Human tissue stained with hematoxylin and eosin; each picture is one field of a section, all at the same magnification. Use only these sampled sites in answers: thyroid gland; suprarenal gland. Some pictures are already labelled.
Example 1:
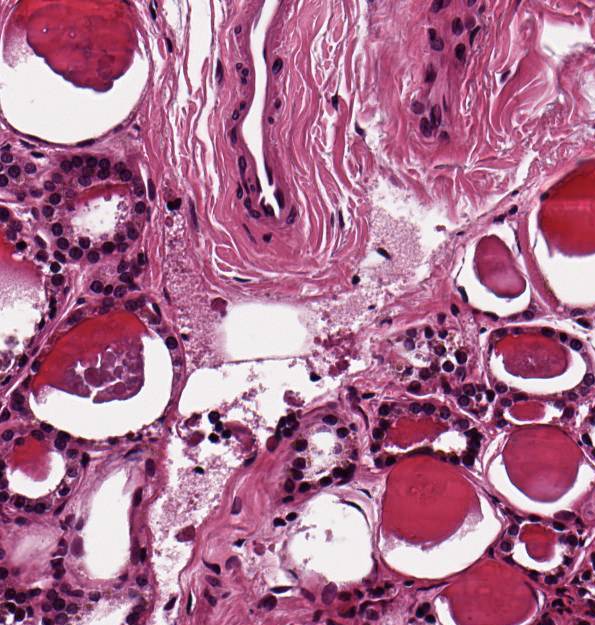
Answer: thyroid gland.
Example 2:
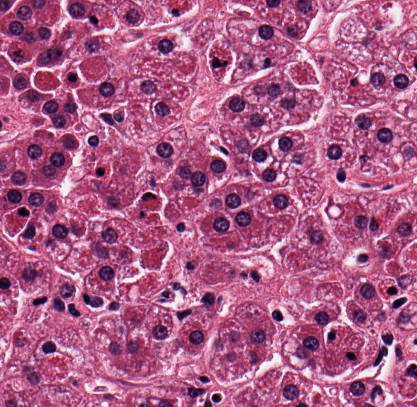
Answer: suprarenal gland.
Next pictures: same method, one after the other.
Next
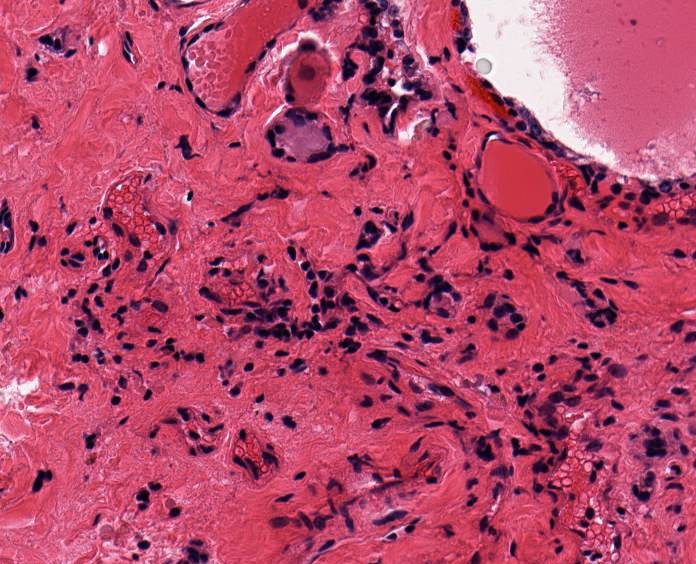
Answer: thyroid gland.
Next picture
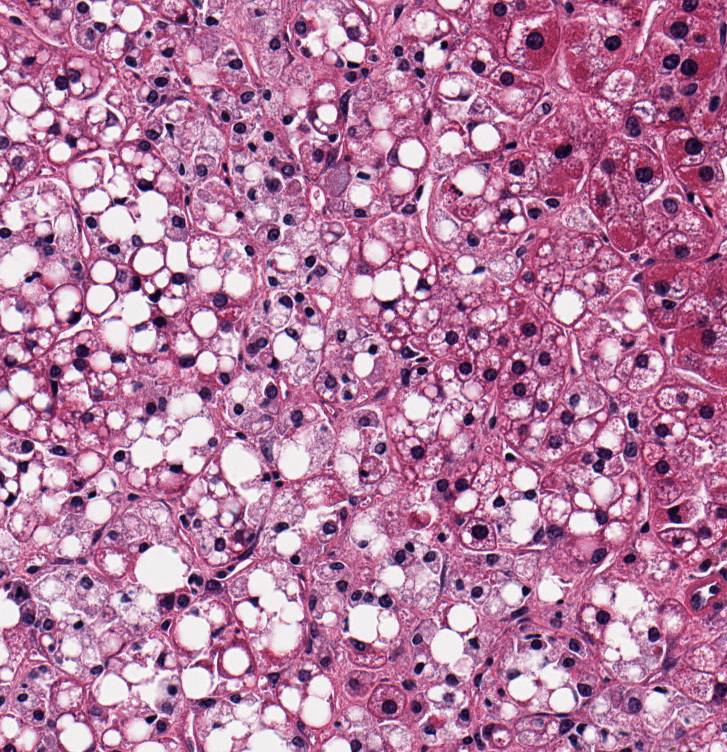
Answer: suprarenal gland.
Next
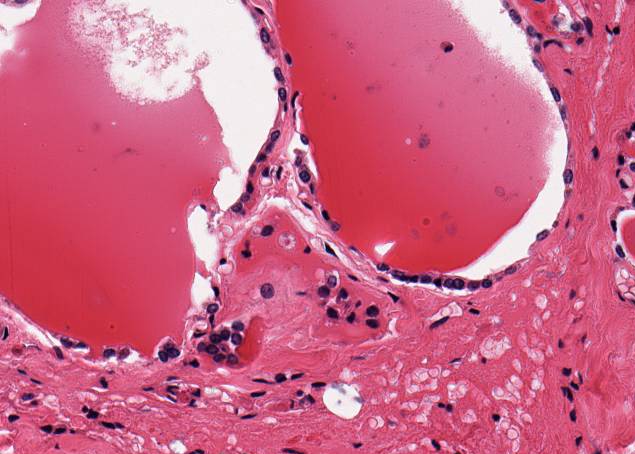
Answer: thyroid gland.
